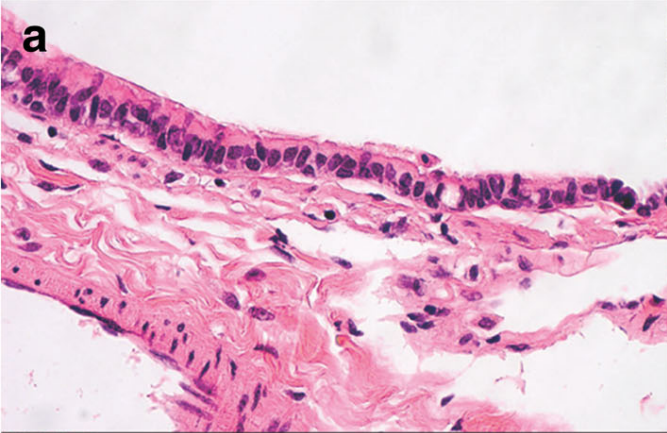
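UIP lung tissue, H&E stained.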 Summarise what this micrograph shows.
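A lining of airway epithelium runs across the top, made of tall columnar cells packed side by side with elongated, dark purple nuclei crowded in the layer. The cytoplasm is pink and the cells face a clear free surface above. Beneath them lies loose, pale pink fibrous connective tissue with scattered spindle-shaped nuclei and small gaps between the fibres.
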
